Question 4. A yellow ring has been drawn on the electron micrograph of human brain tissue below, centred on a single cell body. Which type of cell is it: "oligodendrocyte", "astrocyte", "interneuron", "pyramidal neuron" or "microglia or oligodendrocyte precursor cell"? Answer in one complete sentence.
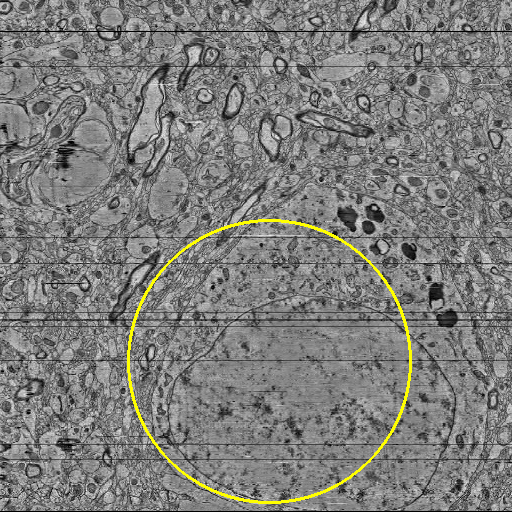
This cell body belongs to a pyramidal neuron.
